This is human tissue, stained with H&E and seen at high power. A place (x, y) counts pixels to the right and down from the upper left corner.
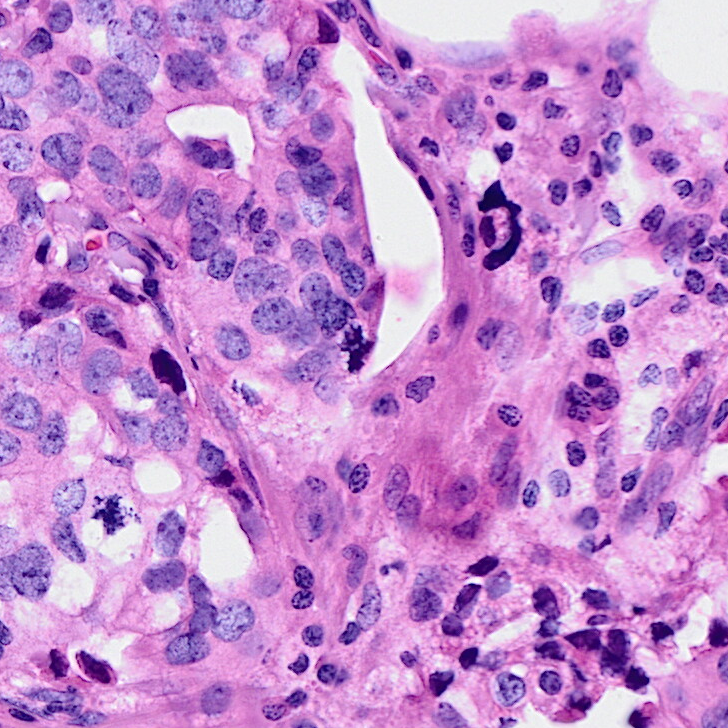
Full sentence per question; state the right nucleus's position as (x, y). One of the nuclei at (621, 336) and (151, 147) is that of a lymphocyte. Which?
The nucleus at (621, 336) is contained in a lymphocyte.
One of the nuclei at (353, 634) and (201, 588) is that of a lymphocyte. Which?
The nucleus that belongs to a lymphocyte is located at (353, 634).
